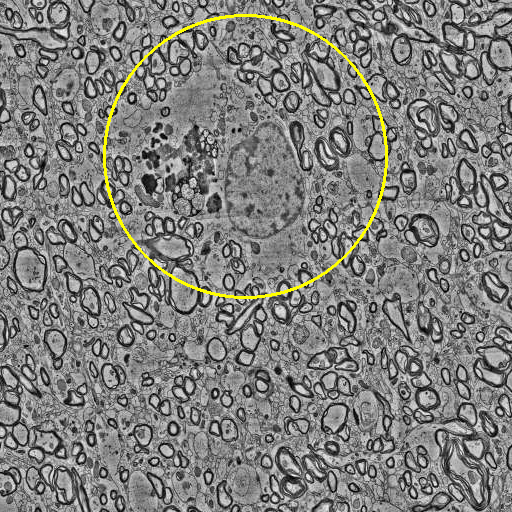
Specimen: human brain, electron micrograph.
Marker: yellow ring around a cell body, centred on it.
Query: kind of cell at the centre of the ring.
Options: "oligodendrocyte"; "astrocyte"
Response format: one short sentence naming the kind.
This cell body belongs to an astrocyte.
